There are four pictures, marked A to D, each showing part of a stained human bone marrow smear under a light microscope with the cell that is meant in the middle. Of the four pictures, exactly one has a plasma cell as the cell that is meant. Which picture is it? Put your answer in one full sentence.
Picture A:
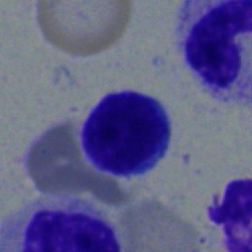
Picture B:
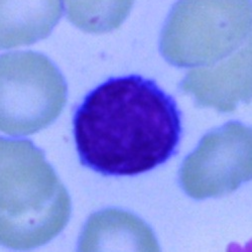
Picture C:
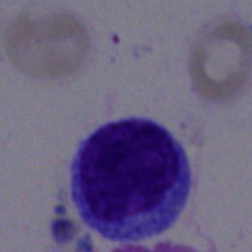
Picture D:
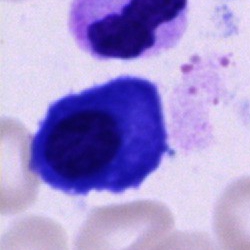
Picture D shows the plasma cell.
